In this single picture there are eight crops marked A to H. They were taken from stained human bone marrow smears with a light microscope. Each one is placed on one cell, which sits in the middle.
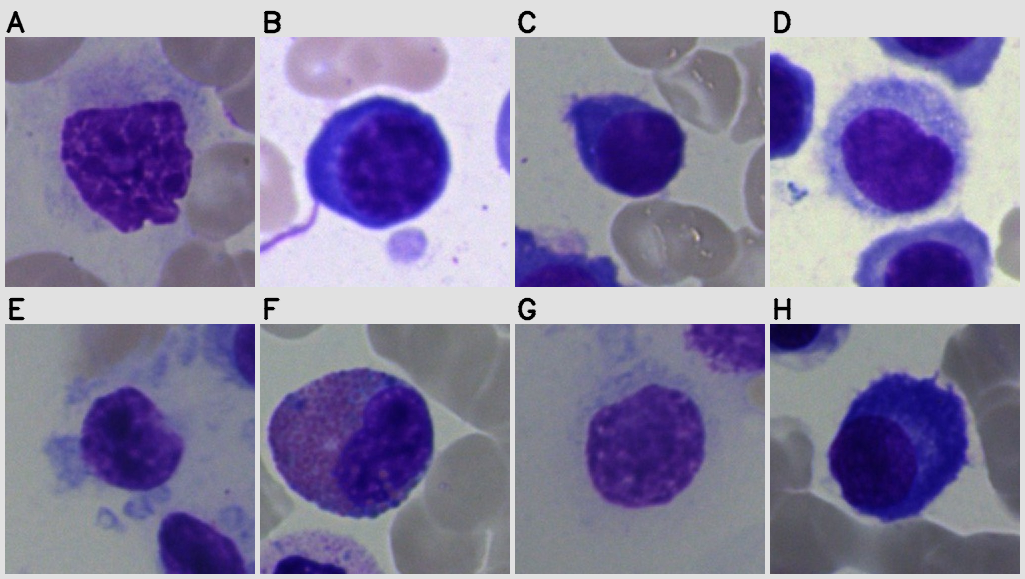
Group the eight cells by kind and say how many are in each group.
hairy cell: 4
plasma cell: 3
eosinophil: 1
